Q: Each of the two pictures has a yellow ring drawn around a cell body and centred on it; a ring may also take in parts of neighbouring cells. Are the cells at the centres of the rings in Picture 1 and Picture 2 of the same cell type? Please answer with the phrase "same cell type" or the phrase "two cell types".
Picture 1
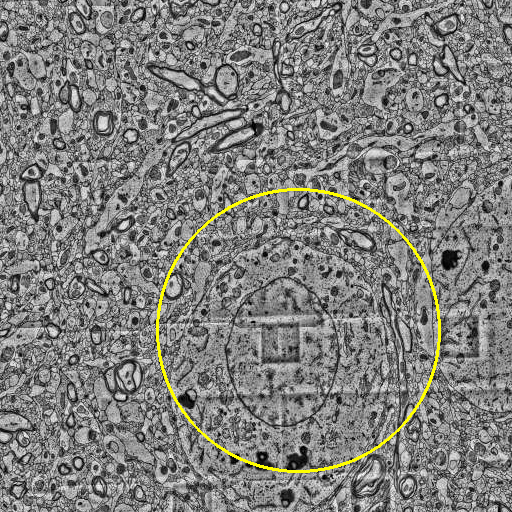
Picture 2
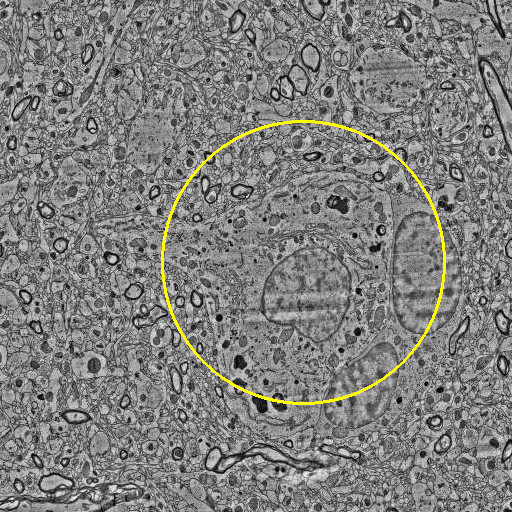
same cell type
